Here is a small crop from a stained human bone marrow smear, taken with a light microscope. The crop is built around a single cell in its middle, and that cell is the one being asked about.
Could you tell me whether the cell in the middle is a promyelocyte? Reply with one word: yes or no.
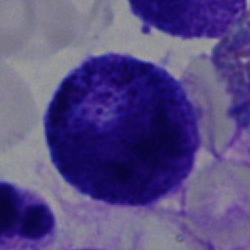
yes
